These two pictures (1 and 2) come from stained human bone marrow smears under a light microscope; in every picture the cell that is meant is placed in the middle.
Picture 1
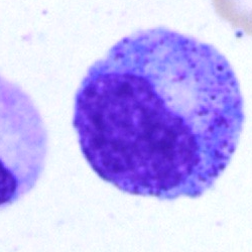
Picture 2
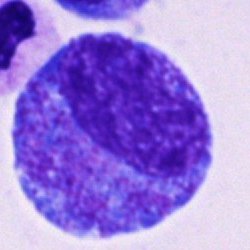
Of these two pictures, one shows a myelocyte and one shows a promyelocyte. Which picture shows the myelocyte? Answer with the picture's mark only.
1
